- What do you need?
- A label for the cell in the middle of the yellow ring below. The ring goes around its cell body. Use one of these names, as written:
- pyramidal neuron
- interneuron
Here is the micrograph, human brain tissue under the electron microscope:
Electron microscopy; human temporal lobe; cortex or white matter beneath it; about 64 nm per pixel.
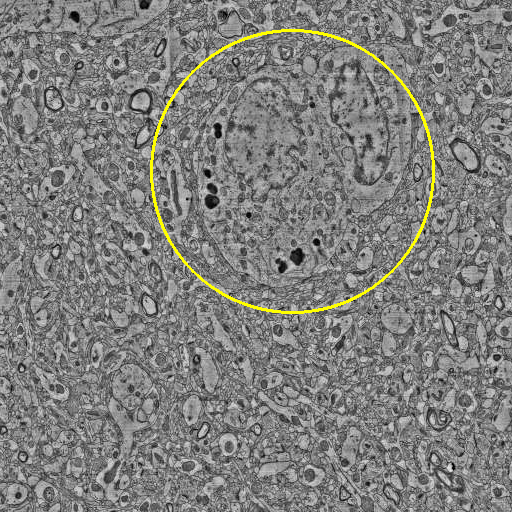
interneuron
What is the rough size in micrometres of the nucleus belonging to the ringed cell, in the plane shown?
About 8 by 5 micrometers, in this plane.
